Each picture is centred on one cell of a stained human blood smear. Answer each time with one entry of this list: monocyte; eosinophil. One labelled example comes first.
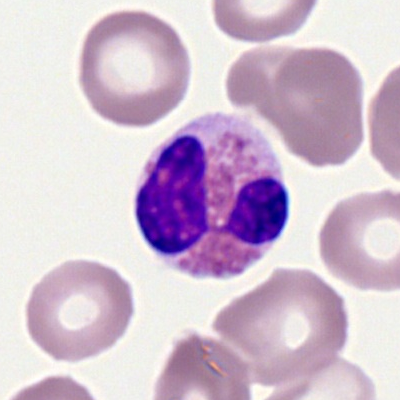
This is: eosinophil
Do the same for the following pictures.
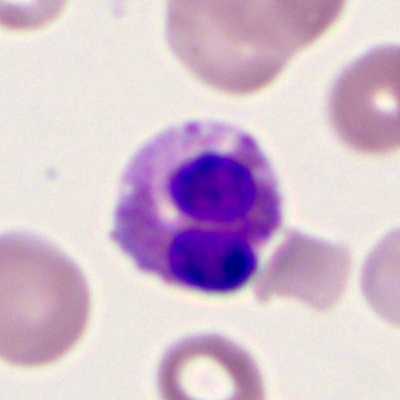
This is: eosinophil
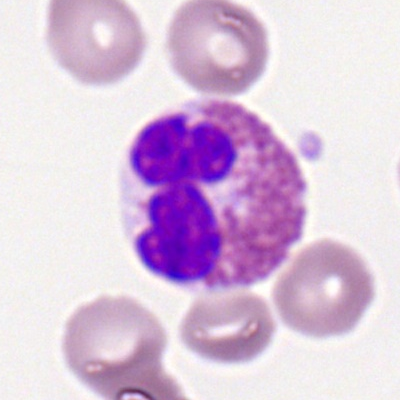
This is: eosinophil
